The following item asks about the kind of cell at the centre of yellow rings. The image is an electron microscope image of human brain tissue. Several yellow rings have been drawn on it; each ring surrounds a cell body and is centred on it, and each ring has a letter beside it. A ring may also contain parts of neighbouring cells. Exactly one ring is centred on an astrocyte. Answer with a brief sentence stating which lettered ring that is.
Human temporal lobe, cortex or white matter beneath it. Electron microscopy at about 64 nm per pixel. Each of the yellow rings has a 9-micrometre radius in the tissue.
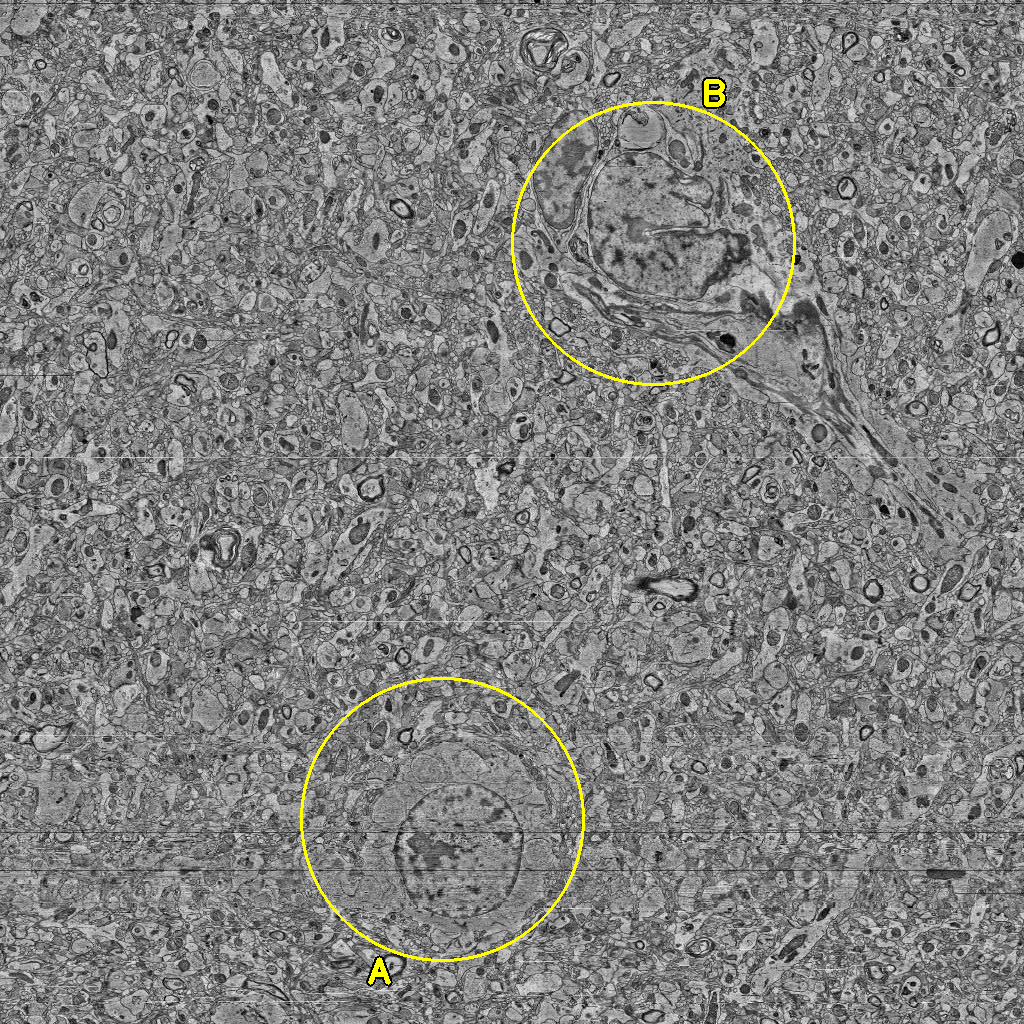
That is ring A.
